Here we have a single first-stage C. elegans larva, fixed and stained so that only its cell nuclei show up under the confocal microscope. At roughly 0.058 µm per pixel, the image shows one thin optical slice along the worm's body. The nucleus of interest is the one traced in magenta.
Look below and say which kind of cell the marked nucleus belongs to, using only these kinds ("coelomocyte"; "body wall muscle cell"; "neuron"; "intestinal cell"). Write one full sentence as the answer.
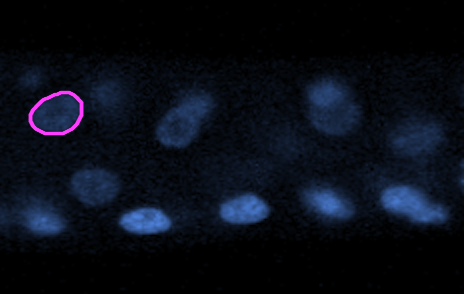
What is marked is the nucleus of an intestinal cell.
